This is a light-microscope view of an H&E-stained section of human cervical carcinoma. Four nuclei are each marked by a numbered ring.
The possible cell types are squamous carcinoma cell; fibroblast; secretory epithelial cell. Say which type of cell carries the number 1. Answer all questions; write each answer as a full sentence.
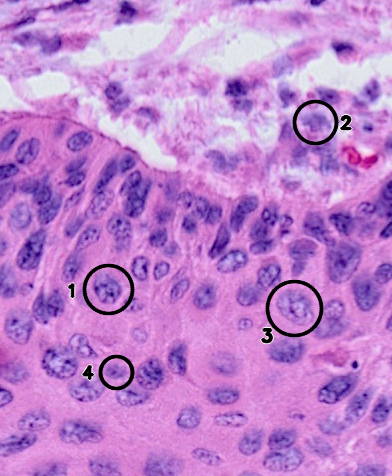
Corresponding to a squamous carcinoma cell is the cell labelled 1.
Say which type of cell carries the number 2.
Here the cell numbered 2 is a fibroblast.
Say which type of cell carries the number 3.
Number 3 is placed on a squamous carcinoma cell here.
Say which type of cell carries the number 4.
Identified as a squamous carcinoma cell is the cell bearing the number 4.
